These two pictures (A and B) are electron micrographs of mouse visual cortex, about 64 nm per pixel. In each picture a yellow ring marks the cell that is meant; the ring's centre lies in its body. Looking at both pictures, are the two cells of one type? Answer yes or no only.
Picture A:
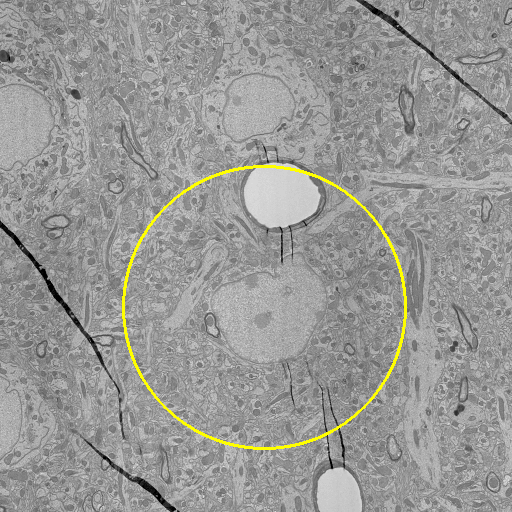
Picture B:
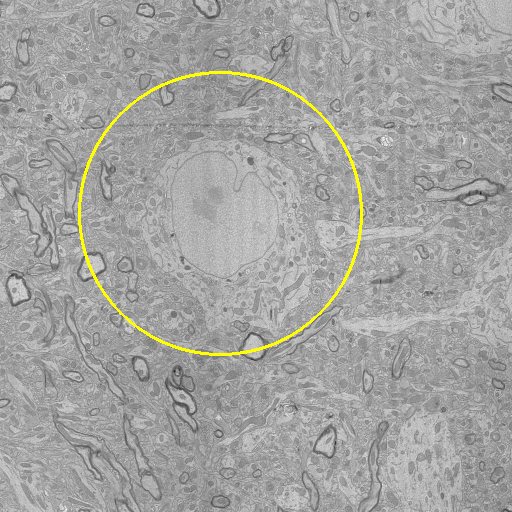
no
